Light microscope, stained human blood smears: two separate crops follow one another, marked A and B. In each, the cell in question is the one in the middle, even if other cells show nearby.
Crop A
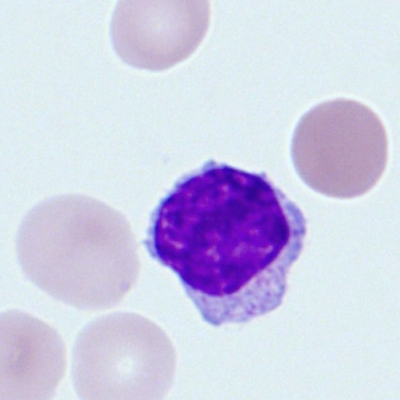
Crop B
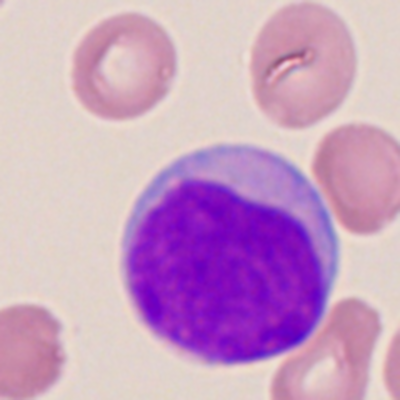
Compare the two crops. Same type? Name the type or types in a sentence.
No, a lymphocyte is in crop A, and a blast is in crop B.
